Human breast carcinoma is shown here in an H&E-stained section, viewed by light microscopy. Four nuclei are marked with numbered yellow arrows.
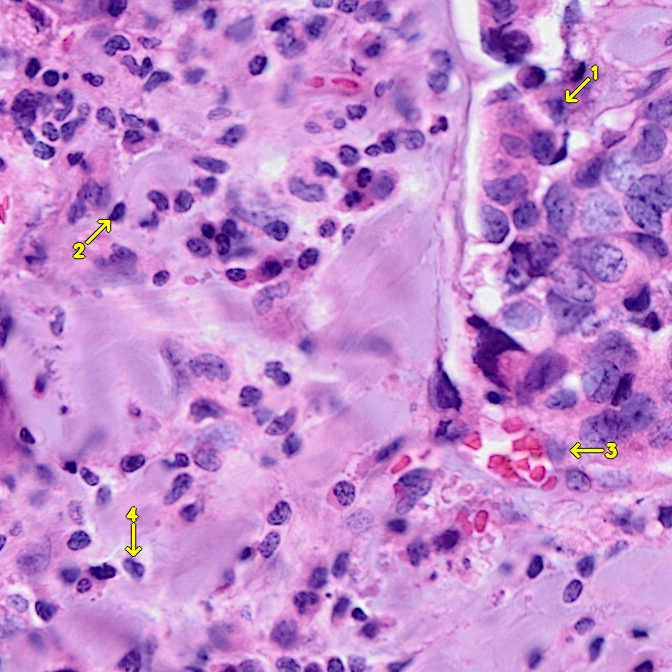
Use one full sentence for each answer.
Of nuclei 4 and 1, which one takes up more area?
Nucleus 1 covers more area, about 1.5 times as much as nucleus 4.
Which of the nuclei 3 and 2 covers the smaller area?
The smaller nucleus is 2, and 3 covers roughly 1.5 times its area.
